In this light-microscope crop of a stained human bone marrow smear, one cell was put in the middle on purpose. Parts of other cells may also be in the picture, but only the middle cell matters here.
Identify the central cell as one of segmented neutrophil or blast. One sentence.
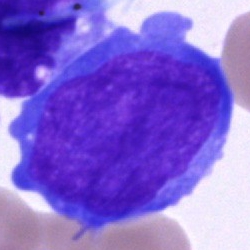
The cell around which this crop is centred is a blast.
